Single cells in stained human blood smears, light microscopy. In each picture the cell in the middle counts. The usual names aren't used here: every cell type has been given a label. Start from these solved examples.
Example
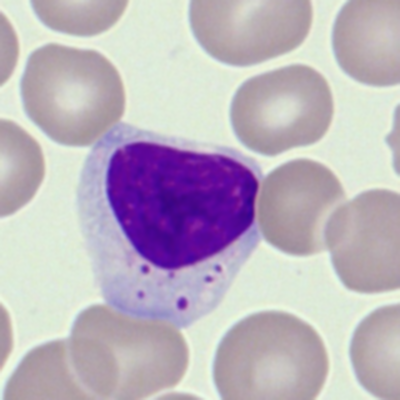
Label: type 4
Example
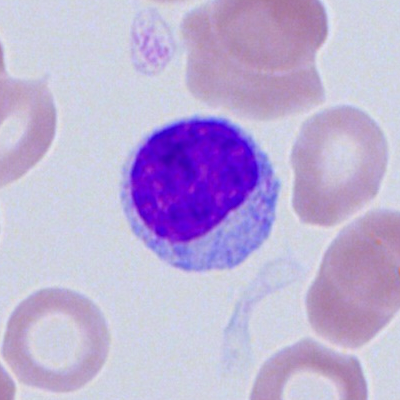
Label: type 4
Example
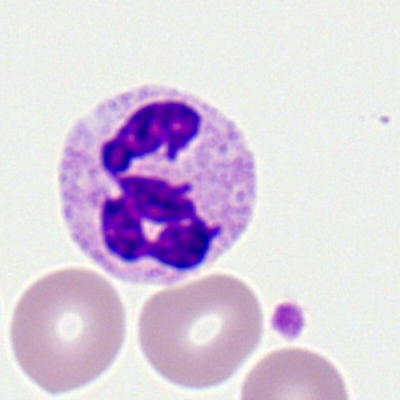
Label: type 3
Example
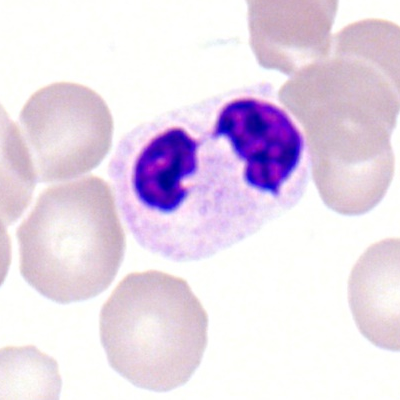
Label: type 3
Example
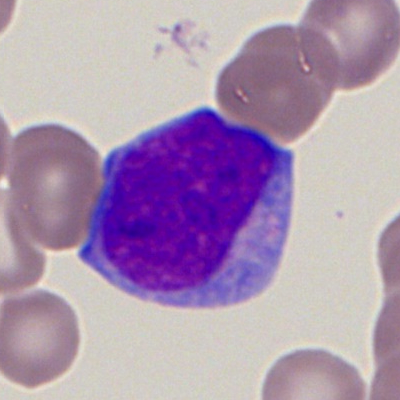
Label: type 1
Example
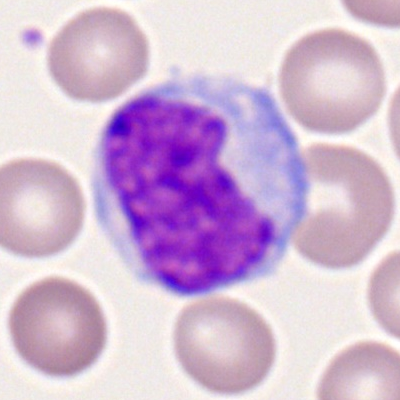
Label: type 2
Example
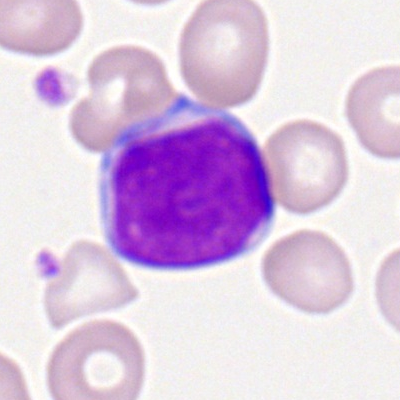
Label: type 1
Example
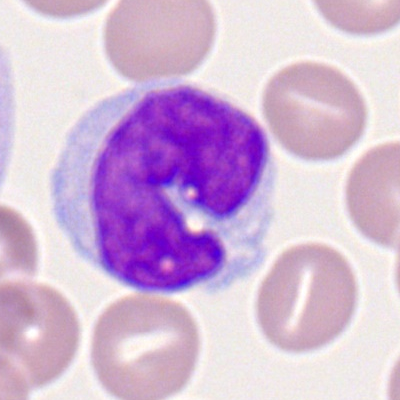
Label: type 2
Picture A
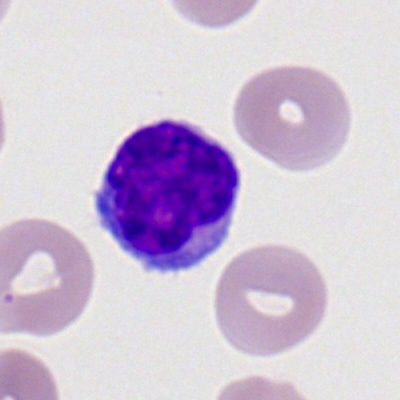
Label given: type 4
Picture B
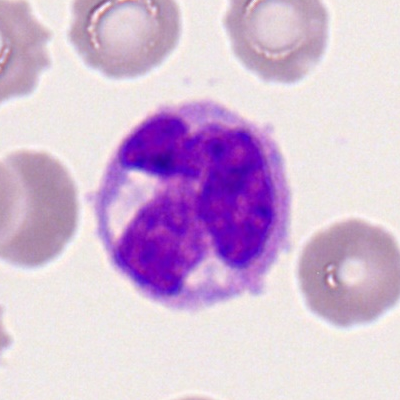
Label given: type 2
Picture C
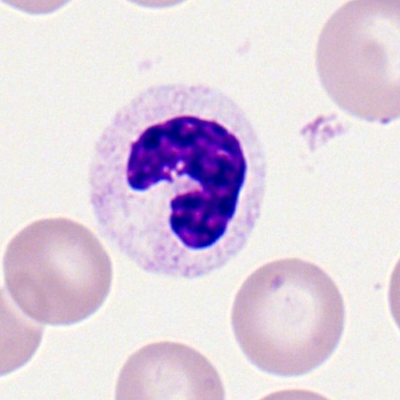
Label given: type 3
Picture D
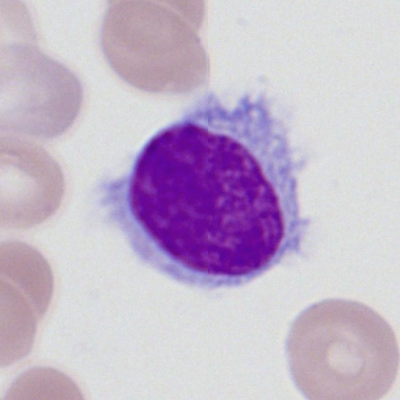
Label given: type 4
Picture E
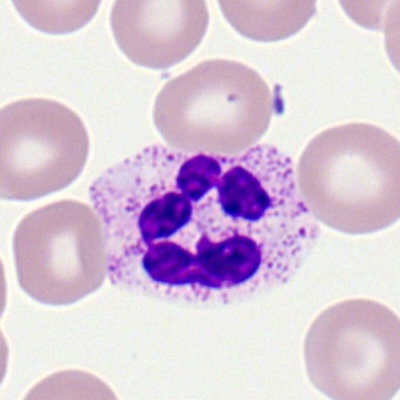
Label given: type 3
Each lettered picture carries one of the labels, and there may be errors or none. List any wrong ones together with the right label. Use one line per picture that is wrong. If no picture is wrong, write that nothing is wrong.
Nothing to fix; every label fits.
